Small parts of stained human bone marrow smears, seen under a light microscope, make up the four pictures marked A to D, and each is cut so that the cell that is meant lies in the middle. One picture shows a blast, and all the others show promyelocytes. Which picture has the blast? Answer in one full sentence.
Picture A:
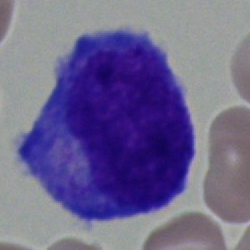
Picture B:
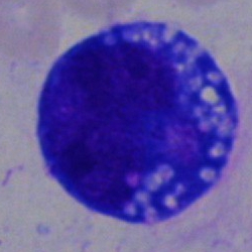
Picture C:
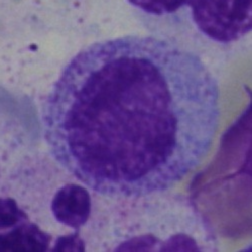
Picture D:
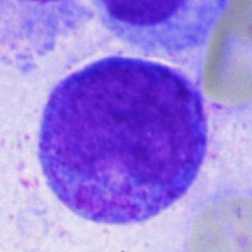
Picture B is the one that shows the blast.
